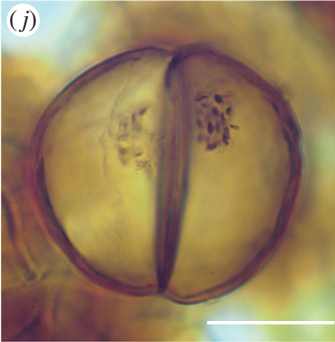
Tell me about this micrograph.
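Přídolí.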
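A single rounded body nearly fills the view. It is split into two half-spheres by one straight partition running from top to bottom. It is enclosed by a thick, smooth, reddish-brown wall.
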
